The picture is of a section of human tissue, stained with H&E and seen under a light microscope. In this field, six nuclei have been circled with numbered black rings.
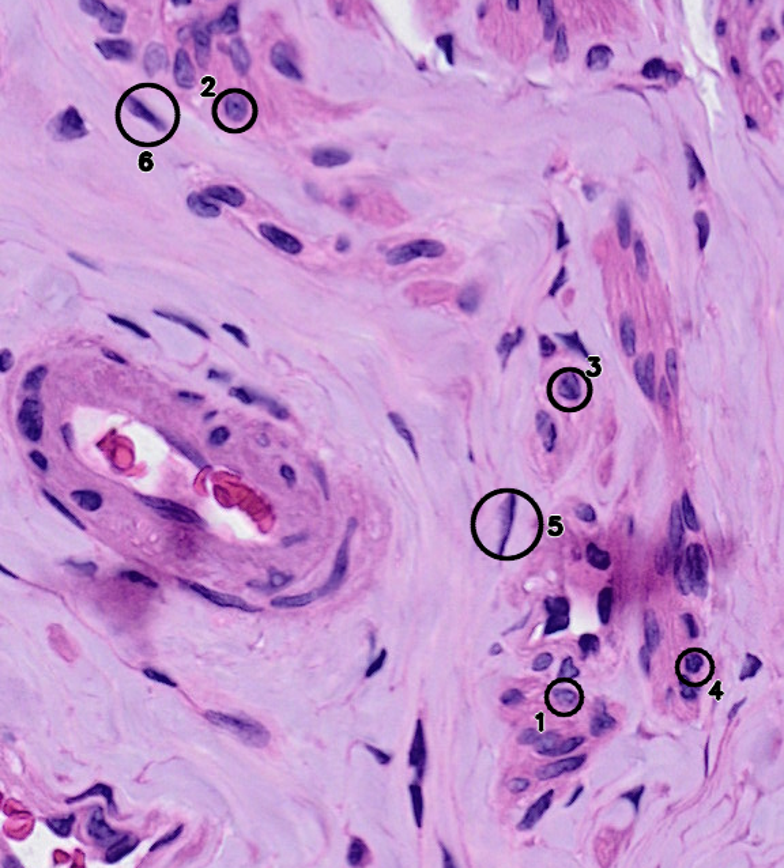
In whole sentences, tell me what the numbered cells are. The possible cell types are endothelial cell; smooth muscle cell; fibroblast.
Cell 1 is a smooth muscle cell, cell 2 is a smooth muscle cell, cell 3 is an endothelial cell, cell 4 is a smooth muscle cell, cell 5 is a fibroblast and cell 6 is a fibroblast.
